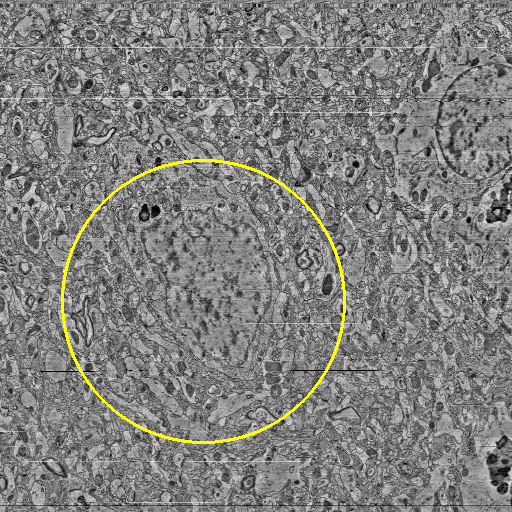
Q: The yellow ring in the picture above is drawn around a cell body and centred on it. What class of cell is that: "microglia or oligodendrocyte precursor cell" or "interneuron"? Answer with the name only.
interneuron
